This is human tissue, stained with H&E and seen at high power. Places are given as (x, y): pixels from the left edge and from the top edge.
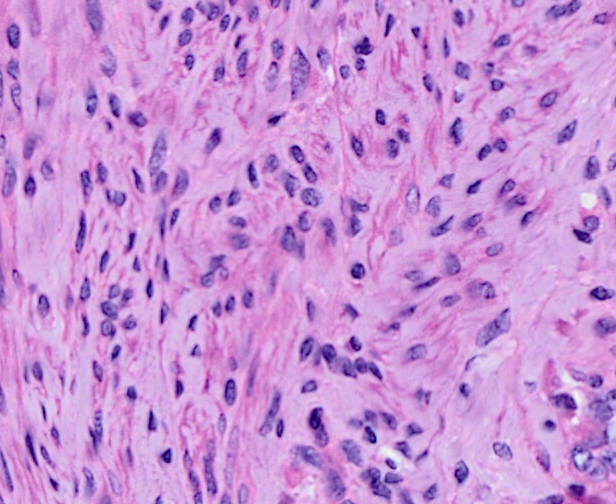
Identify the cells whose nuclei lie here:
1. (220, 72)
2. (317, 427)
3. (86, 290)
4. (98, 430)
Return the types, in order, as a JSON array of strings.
["smooth muscle cell", "endothelial cell", "smooth muscle cell", "smooth muscle cell"]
